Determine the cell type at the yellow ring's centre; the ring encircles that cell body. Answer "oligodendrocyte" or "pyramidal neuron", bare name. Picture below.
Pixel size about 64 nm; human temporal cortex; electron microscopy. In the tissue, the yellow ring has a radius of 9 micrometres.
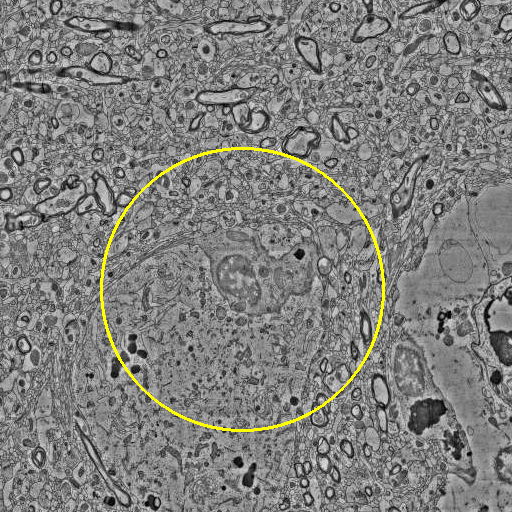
oligodendrocyte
